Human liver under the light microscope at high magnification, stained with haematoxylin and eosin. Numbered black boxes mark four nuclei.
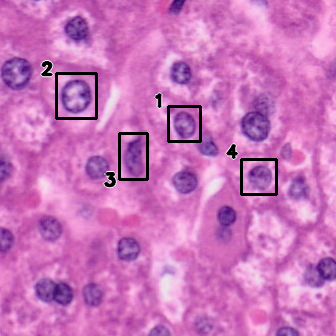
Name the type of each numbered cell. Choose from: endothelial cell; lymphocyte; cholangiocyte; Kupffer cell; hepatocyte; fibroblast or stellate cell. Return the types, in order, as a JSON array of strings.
["hepatocyte", "hepatocyte", "Kupffer cell", "hepatocyte"]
